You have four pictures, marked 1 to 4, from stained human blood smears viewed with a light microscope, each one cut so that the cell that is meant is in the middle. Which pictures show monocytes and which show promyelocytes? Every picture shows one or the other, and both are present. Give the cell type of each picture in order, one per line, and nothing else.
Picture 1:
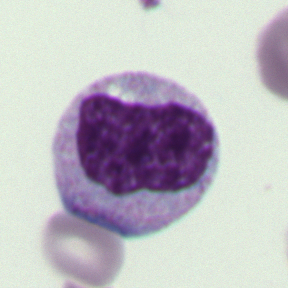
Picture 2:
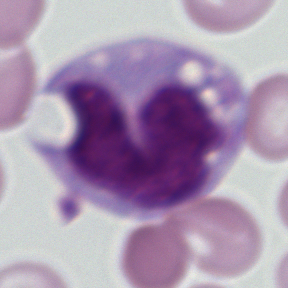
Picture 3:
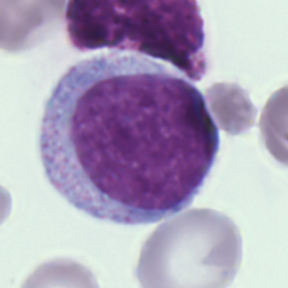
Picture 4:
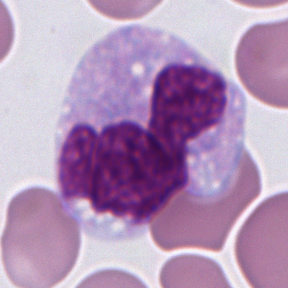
monocyte
monocyte
promyelocyte
monocyte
